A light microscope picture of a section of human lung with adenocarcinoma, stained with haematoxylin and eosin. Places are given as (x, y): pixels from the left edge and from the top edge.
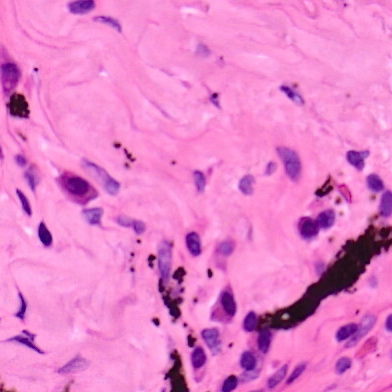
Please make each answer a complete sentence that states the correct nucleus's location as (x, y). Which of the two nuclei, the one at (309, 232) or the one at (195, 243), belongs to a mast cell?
Located at (195, 243), this nucleus is the one belonging to a mast cell.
